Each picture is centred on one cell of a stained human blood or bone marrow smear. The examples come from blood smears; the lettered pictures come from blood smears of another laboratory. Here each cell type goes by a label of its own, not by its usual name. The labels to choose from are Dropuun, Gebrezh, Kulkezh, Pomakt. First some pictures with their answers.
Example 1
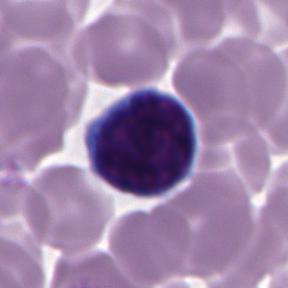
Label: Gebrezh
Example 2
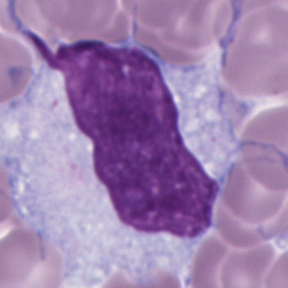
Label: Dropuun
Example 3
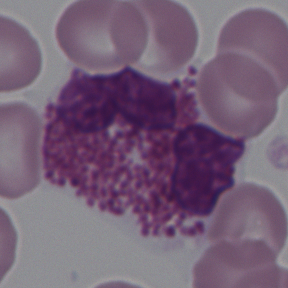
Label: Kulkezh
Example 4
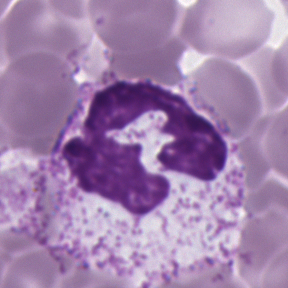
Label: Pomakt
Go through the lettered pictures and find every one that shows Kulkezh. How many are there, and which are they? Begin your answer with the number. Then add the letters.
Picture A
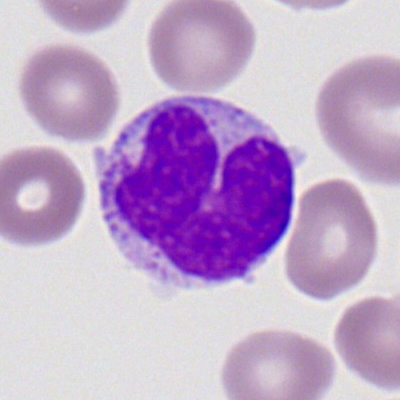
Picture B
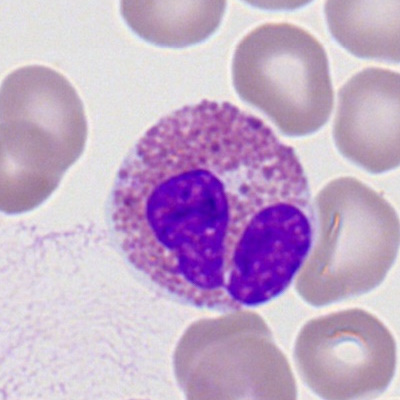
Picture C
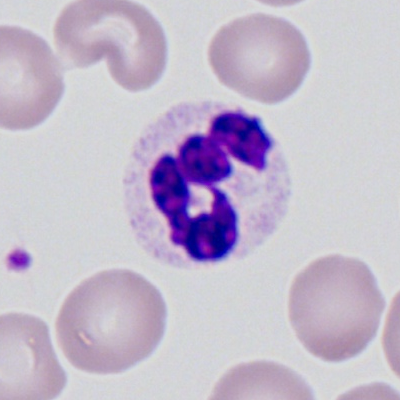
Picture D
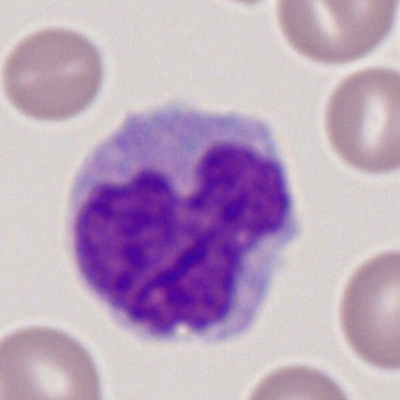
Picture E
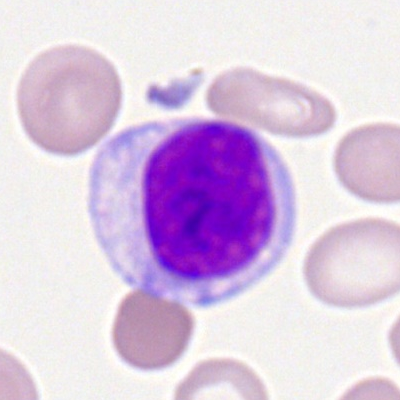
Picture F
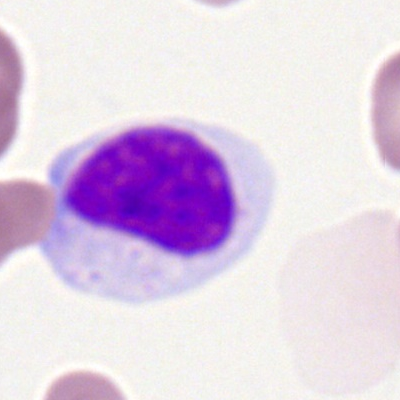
1, namely B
